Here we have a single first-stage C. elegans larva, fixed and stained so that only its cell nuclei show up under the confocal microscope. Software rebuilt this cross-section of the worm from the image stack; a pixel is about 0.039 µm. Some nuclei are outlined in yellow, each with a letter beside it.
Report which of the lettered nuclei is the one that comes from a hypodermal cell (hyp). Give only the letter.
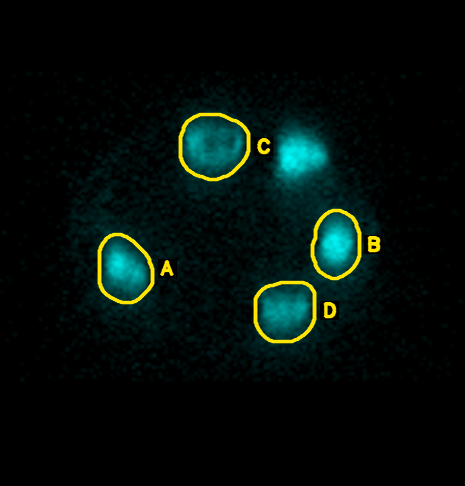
C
